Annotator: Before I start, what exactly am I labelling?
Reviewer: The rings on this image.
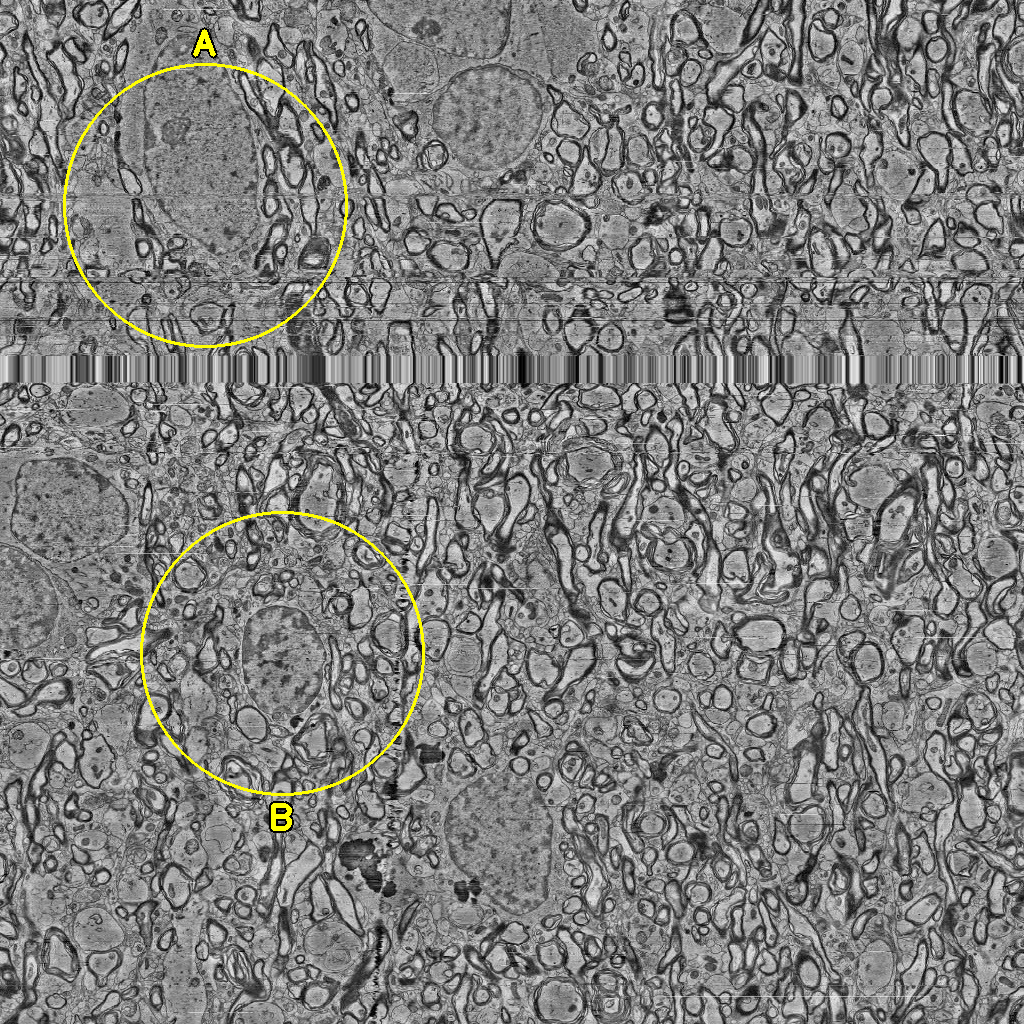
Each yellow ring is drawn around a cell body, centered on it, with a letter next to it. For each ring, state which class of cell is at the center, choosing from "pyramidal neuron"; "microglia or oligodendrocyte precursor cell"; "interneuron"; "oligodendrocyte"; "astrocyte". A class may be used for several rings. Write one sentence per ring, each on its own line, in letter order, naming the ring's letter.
At the center of ring A we have an astrocyte.
At the center of ring B we have a microglial cell or oligodendrocyte precursor cell.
